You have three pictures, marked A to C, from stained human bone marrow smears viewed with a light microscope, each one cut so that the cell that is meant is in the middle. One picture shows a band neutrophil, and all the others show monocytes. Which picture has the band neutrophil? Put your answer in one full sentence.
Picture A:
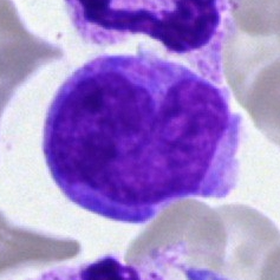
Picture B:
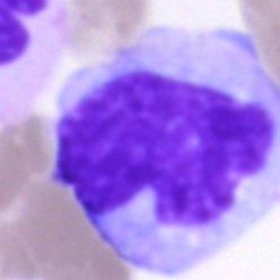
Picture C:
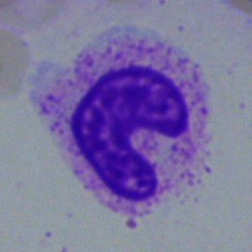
It is picture C that shows the band neutrophil.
